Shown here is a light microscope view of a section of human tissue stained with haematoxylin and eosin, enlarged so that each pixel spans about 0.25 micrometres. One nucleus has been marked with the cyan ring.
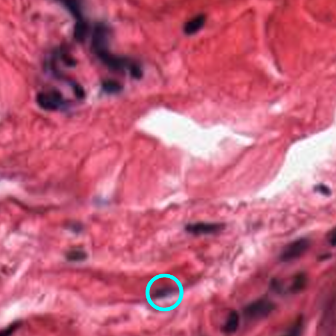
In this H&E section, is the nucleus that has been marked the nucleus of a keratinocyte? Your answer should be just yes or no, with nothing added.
no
